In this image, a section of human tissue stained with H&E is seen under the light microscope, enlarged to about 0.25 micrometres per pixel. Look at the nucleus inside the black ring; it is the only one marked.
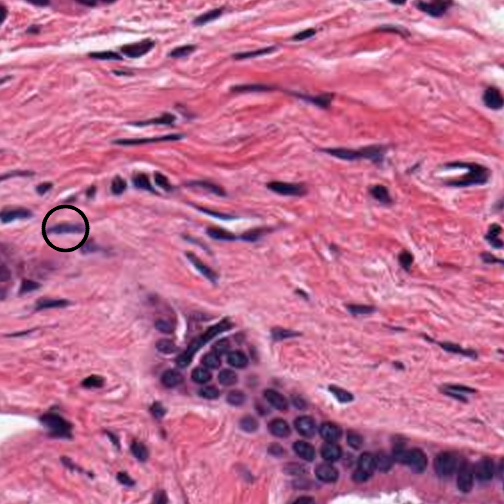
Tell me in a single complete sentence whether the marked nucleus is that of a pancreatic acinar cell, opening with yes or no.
No, the owner of the marked nucleus is a supporting cell, not a pancreatic acinar cell.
